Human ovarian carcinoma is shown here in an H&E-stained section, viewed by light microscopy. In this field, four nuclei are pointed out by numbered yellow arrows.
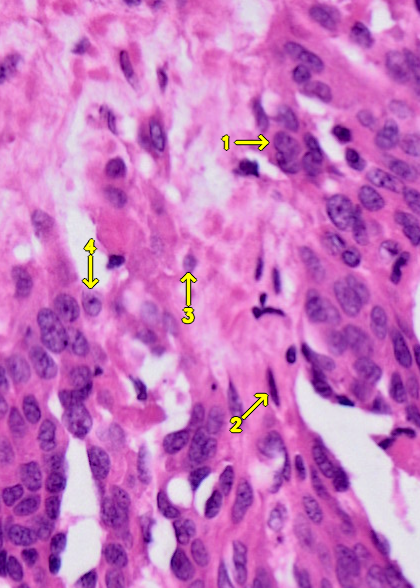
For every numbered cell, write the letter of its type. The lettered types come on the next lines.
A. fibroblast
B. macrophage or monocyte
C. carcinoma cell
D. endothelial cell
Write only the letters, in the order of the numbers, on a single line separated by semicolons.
C; A; A; B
